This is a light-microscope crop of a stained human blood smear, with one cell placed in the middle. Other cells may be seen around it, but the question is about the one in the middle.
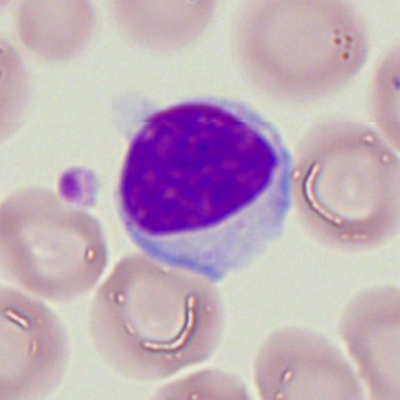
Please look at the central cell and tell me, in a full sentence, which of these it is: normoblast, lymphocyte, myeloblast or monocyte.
The cell at the central position in this crop is a lymphocyte.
